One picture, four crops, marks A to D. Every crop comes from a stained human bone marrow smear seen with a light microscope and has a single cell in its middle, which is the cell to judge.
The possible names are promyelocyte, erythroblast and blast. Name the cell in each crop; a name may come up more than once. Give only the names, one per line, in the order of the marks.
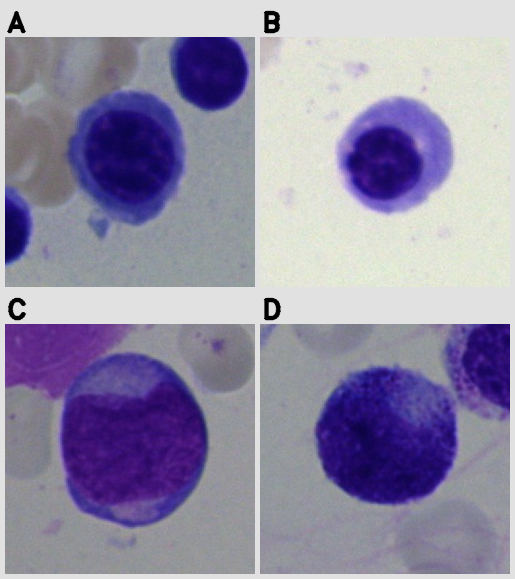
erythroblast
erythroblast
blast
promyelocyte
